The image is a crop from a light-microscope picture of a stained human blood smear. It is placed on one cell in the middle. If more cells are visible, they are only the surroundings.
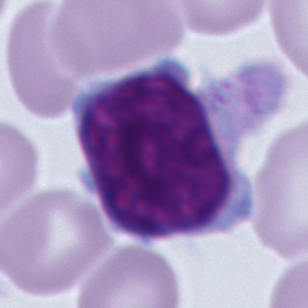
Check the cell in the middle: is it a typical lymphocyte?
yes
